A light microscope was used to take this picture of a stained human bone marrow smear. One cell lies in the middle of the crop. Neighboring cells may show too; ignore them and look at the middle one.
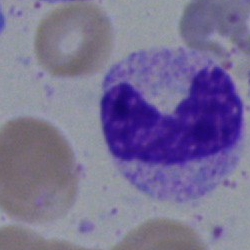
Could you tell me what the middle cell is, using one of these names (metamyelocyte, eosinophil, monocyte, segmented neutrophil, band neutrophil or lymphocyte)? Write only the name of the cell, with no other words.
band neutrophil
